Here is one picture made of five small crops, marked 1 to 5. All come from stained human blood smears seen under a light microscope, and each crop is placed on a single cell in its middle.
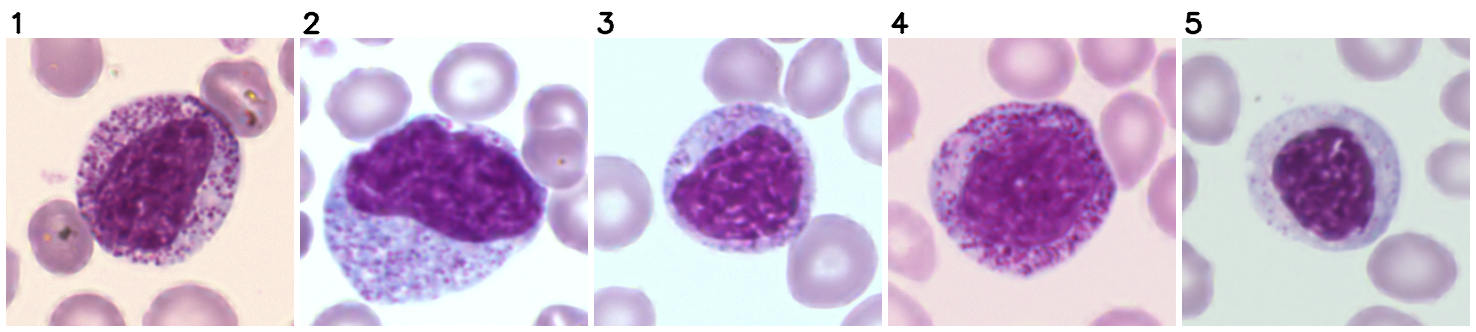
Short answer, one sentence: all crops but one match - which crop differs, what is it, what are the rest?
Among these crops, myelocytes occur in all but crop 5, which contains a metamyelocyte.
